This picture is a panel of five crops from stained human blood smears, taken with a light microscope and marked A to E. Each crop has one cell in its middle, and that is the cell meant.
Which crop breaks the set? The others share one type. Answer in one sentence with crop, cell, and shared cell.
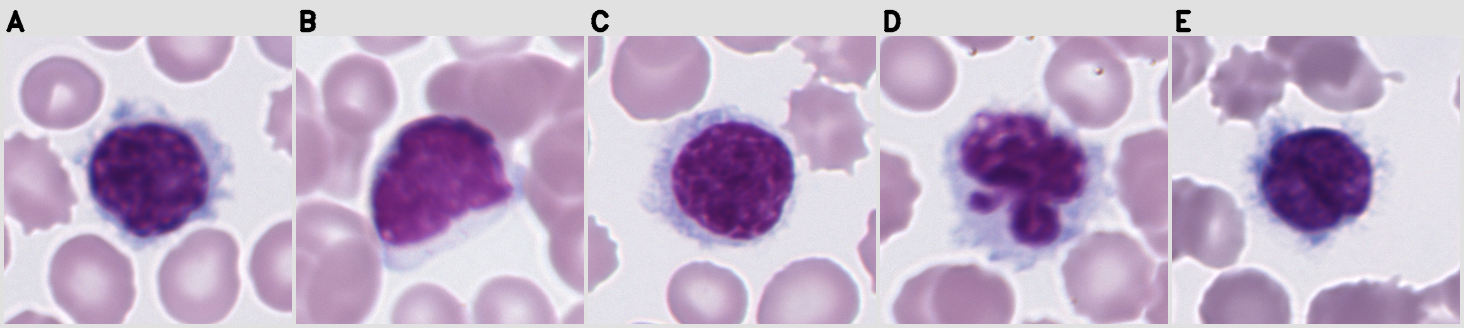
The rest of the crops show hairy cells; crop B is the one showing a large granular lymphocyte.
